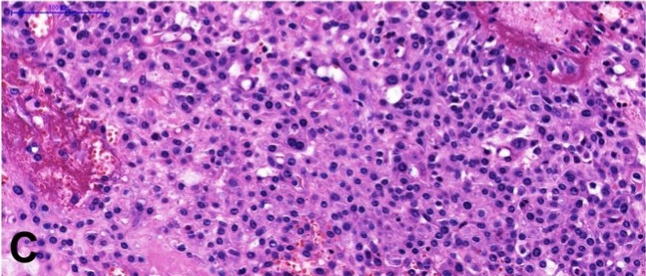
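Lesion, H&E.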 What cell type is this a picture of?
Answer: Round epithelioid cells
